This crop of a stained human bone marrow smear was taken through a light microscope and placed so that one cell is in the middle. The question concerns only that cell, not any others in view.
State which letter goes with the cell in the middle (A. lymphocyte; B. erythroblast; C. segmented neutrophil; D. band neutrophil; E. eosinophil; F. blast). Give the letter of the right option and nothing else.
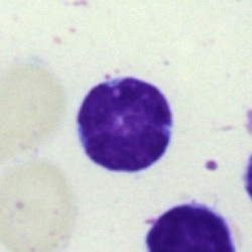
A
